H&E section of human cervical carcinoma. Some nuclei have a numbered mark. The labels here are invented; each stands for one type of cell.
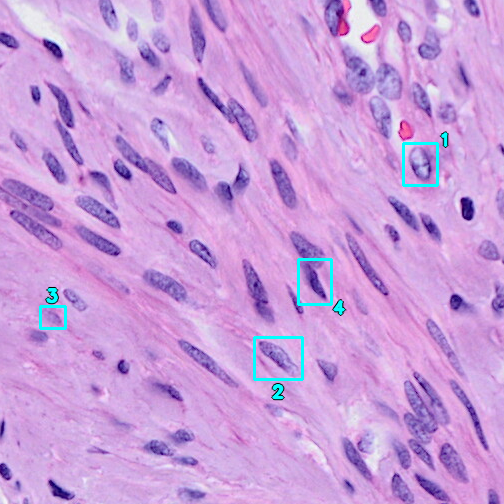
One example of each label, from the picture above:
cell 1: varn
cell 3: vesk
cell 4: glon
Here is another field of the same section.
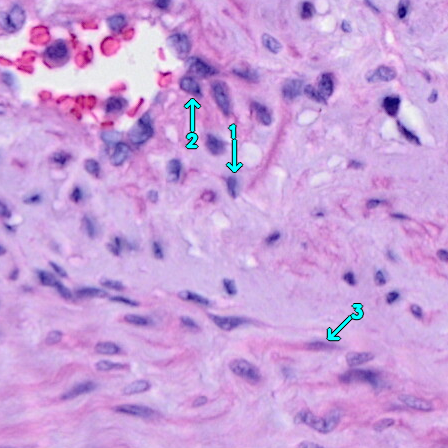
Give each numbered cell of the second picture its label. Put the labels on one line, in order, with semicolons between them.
glon; varn; vesk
